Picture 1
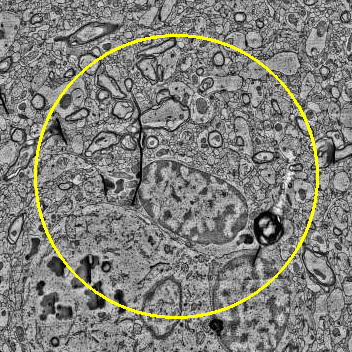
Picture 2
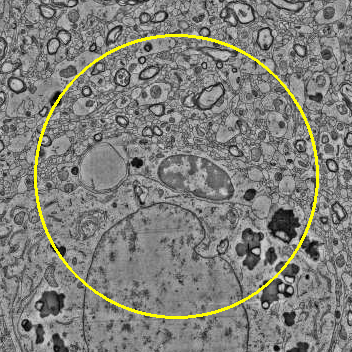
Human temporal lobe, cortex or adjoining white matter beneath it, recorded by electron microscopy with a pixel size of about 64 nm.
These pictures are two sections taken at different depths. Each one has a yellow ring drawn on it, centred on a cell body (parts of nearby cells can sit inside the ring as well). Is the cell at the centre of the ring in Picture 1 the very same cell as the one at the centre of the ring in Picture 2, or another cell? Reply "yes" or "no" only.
yes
